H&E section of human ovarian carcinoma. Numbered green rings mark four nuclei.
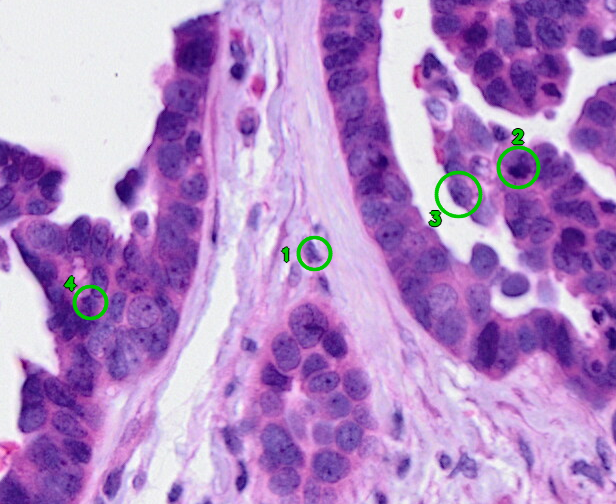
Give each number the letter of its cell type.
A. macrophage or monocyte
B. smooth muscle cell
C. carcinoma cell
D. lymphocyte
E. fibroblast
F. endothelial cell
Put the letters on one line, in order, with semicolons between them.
E; C; C; C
